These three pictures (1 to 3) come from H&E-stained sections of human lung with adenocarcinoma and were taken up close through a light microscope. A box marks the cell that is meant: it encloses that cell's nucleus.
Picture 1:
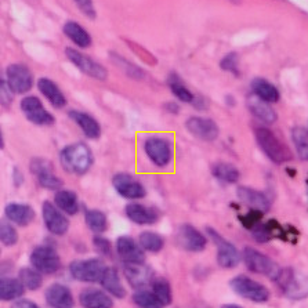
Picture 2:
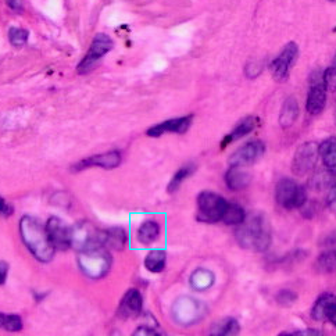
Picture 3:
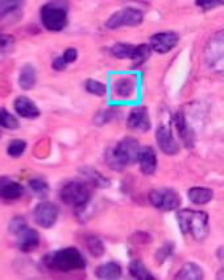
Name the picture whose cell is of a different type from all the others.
3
